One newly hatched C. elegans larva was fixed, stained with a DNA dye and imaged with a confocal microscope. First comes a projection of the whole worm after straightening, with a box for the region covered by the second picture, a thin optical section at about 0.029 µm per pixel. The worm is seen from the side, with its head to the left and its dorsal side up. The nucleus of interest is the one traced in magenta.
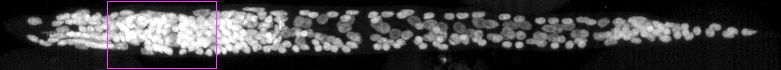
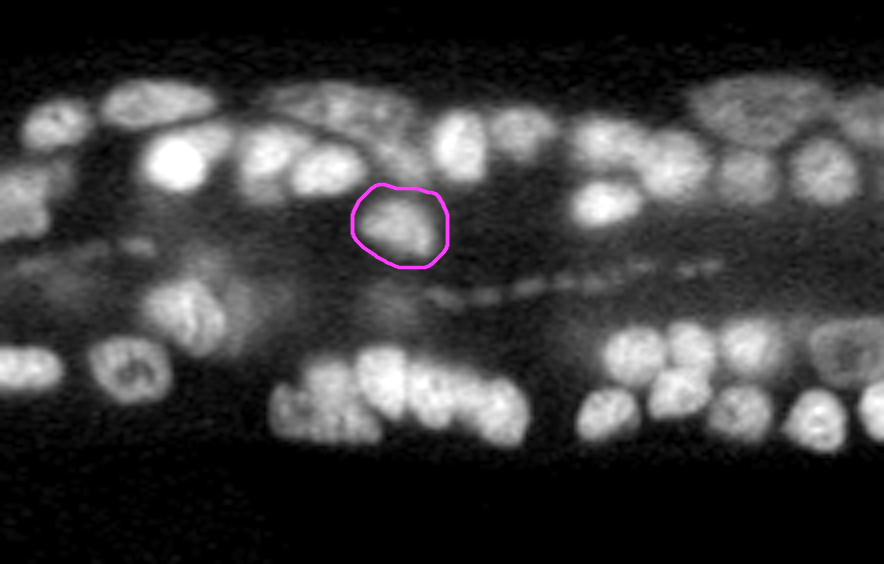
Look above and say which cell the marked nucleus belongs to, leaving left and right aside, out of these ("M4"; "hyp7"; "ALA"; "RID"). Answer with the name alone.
M4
